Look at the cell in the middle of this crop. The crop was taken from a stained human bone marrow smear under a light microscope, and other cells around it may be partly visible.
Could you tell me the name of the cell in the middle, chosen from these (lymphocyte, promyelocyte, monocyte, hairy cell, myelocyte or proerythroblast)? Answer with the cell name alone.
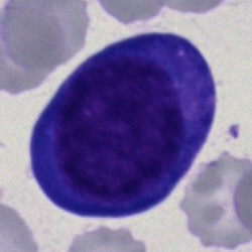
proerythroblast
